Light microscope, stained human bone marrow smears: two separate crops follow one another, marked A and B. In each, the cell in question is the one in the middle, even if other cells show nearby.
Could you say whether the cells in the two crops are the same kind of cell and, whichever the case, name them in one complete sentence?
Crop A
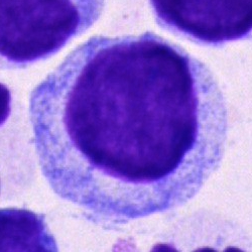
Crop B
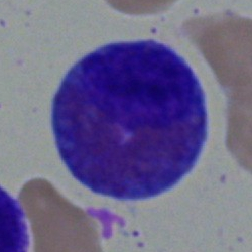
No, a promyelocyte is in crop A, while an eosinophil is in crop B.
